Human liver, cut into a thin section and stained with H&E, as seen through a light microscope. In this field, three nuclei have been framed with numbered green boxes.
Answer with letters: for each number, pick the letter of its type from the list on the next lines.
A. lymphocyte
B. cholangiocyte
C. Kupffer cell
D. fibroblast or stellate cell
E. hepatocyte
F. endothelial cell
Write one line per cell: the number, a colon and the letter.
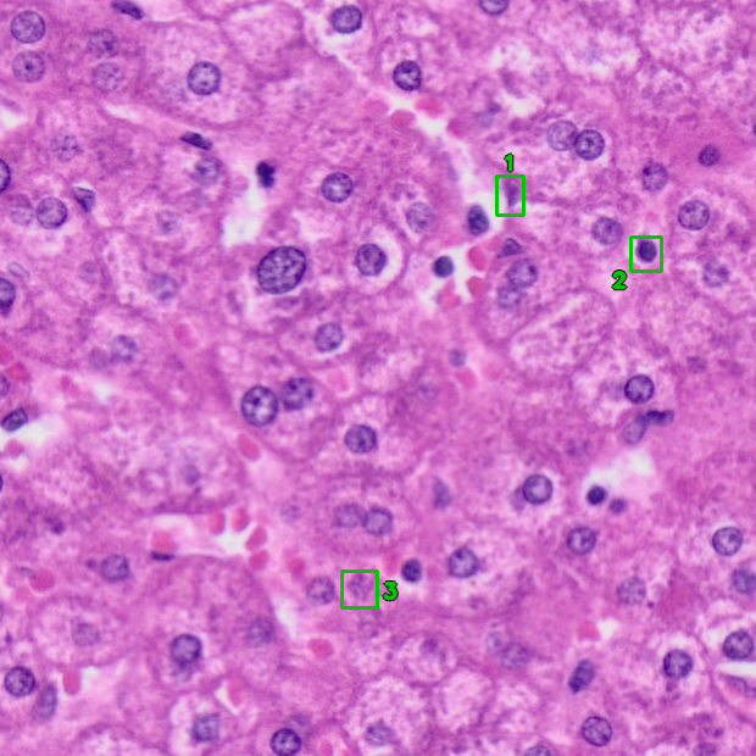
1: F
2: A
3: E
